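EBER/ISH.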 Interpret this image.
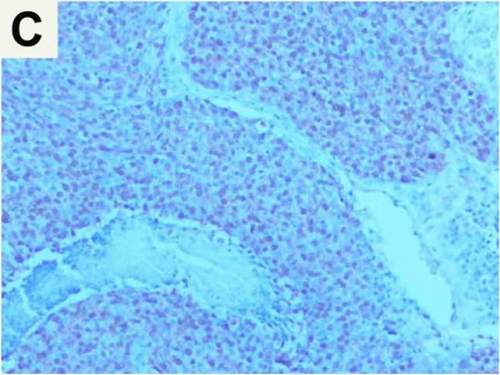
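Broad sheets and nests of tumor cells are crowded together, separated by thin strands of pale, loose stroma. The tumor cells have rounded to oval nuclei that take a purple to dark violet colour, set in pale bluish cytoplasm, and they lie closely packed without clear gland formation. Most nuclei within the sheets are coloured, while the stromal bands between the sheets hold fewer, paler cells. The pattern is that of an undifferentiated carcinoma growing in solid sheets, with the tumor cell nuclei marked by the purple colour.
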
